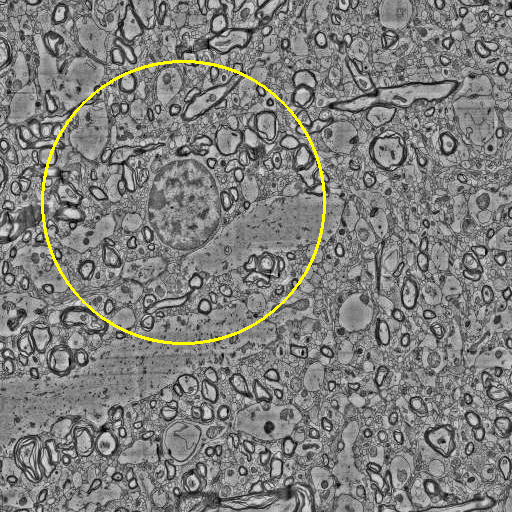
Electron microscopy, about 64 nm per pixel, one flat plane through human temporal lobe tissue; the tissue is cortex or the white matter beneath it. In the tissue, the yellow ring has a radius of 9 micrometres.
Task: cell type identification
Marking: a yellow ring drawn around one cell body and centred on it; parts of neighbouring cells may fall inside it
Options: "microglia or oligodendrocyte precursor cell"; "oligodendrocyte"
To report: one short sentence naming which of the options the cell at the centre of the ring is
The cell at the centre of the ring is an oligodendrocyte.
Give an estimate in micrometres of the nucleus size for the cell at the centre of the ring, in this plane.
In this plane the nucleus spans approximately 6 by 5 micrometers.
